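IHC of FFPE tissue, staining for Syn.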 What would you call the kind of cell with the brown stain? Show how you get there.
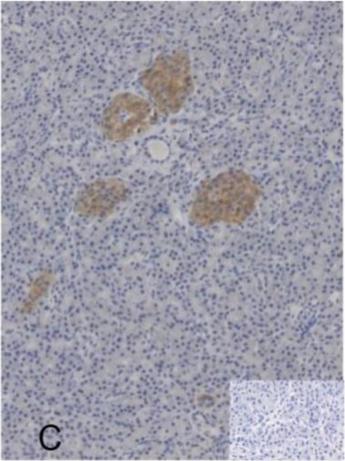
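Several rounded, well-demarcated cell clusters are stained light brown. The surrounding acinar tissue is blue and unstained. On this evidence: islet cells.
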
